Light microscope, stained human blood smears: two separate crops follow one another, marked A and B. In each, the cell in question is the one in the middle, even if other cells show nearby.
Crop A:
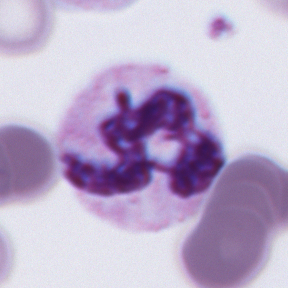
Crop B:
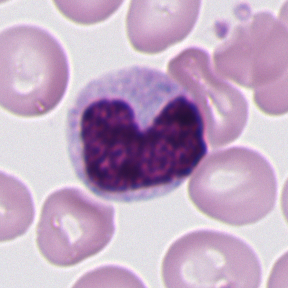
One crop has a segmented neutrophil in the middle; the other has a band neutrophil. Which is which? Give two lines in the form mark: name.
A: segmented neutrophil
B: band neutrophil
